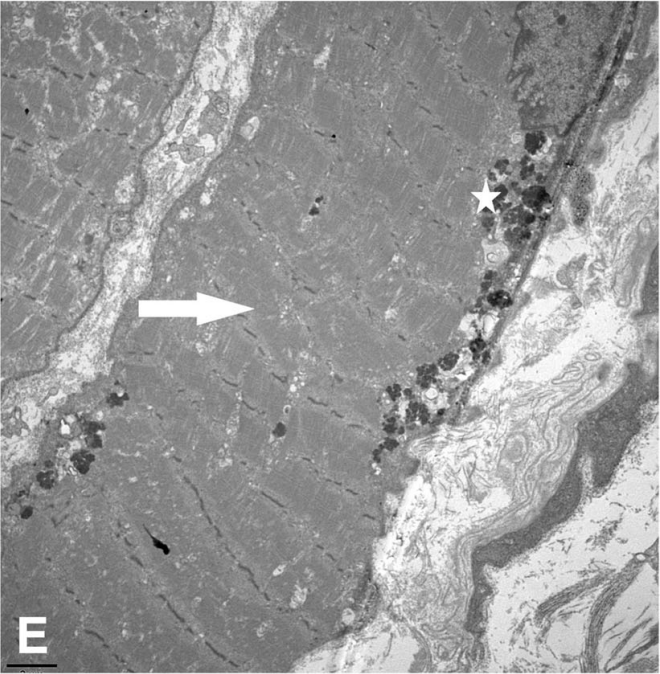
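Transmission electron micrograph of a longitudinally sectioned skeletal muscle fiber. Myofibrils run diagonally, but sarcomere banding is irregular: dark cross-bands are wavy, interrupted and misaligned between neighboring myofibrils, indicating myofibrillar disorganization. Along the fiber edge, just under the surface membrane, lie clusters of irregular, electron-dense, mottled granular bodies, consistent with lipofuscin. A few scattered dense bodies lie within the fiber. Pale extracellular space with loose fibrillar material and adjacent cellular profiles borders the fiber on both sides.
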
